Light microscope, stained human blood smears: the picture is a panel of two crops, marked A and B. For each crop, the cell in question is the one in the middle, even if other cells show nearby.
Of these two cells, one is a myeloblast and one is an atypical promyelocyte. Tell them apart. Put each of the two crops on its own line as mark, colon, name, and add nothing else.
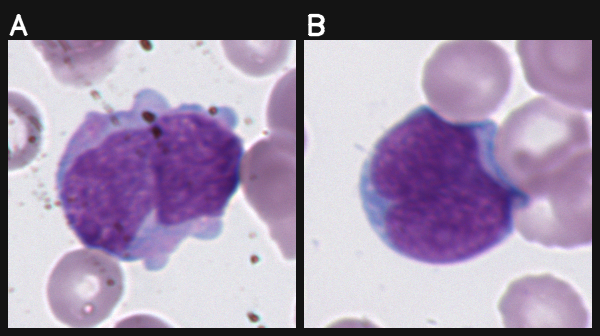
A: atypical promyelocyte
B: myeloblast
